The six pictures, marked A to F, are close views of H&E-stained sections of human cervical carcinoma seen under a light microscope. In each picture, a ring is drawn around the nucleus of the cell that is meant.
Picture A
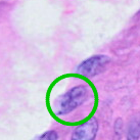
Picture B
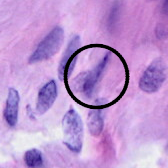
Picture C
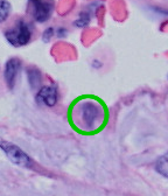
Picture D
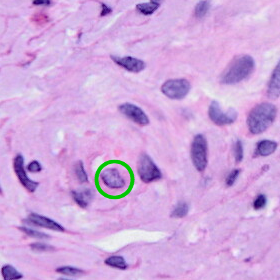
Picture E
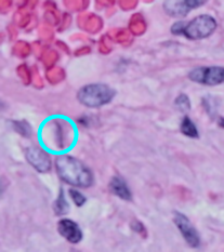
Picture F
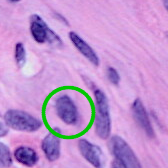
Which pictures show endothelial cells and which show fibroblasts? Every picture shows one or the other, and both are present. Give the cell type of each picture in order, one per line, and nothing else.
endothelial cell
fibroblast
endothelial cell
endothelial cell
endothelial cell
fibroblast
